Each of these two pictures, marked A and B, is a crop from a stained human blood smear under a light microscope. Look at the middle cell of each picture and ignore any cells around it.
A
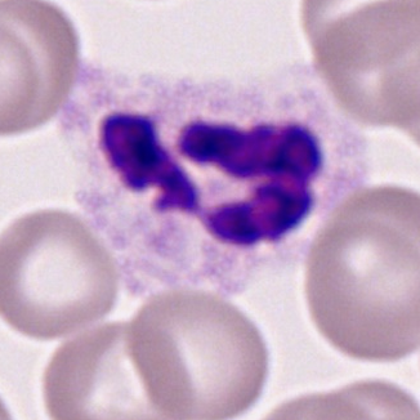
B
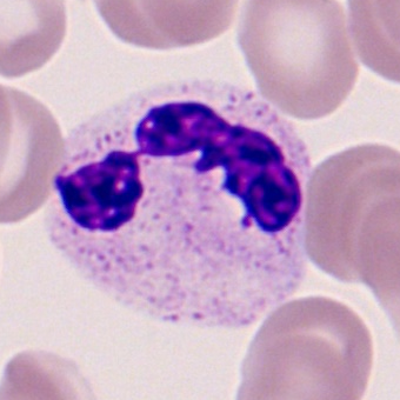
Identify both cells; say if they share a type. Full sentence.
Yes, both crops show segmented neutrophils, to put it briefly.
